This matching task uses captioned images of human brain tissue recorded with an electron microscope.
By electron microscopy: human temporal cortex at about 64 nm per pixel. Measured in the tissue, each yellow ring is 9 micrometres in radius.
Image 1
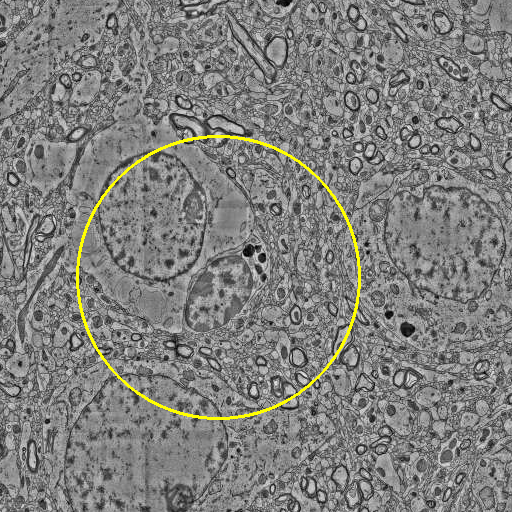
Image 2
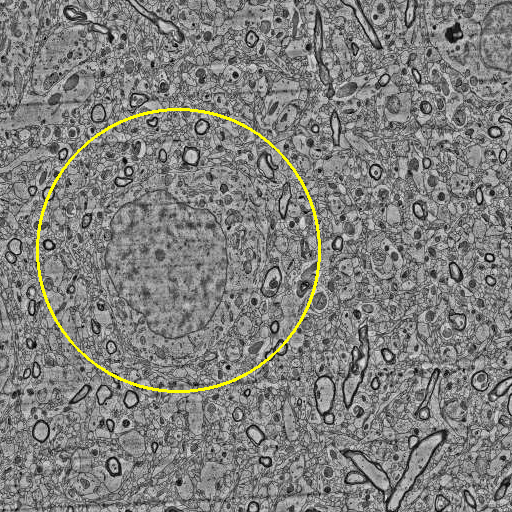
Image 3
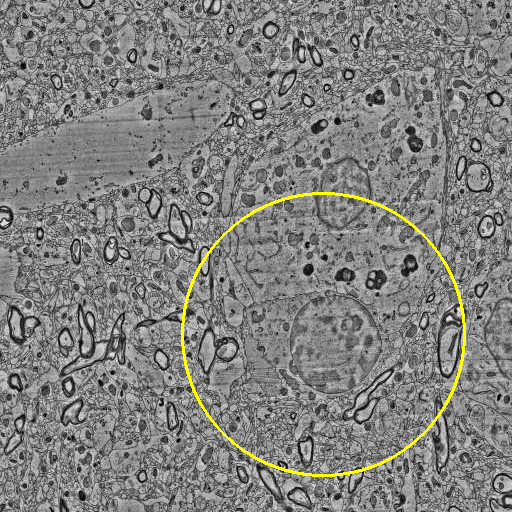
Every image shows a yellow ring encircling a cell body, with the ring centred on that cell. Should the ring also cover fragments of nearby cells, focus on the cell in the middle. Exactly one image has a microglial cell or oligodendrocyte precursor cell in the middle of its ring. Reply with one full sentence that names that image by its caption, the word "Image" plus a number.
Image 1 shows the cell in question at the centre of its yellow ring.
